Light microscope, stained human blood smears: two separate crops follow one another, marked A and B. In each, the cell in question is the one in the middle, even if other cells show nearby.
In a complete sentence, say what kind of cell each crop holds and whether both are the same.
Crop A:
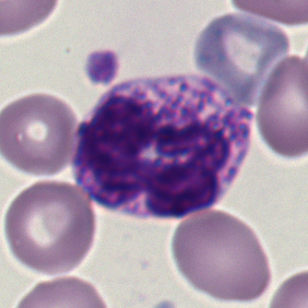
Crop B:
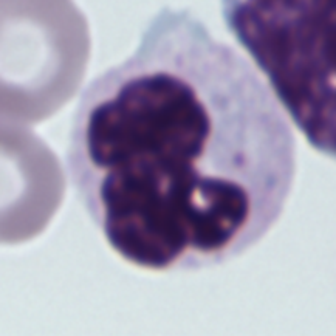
No, crop A contains a basophil; a segmented neutrophil is what crop B contains.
